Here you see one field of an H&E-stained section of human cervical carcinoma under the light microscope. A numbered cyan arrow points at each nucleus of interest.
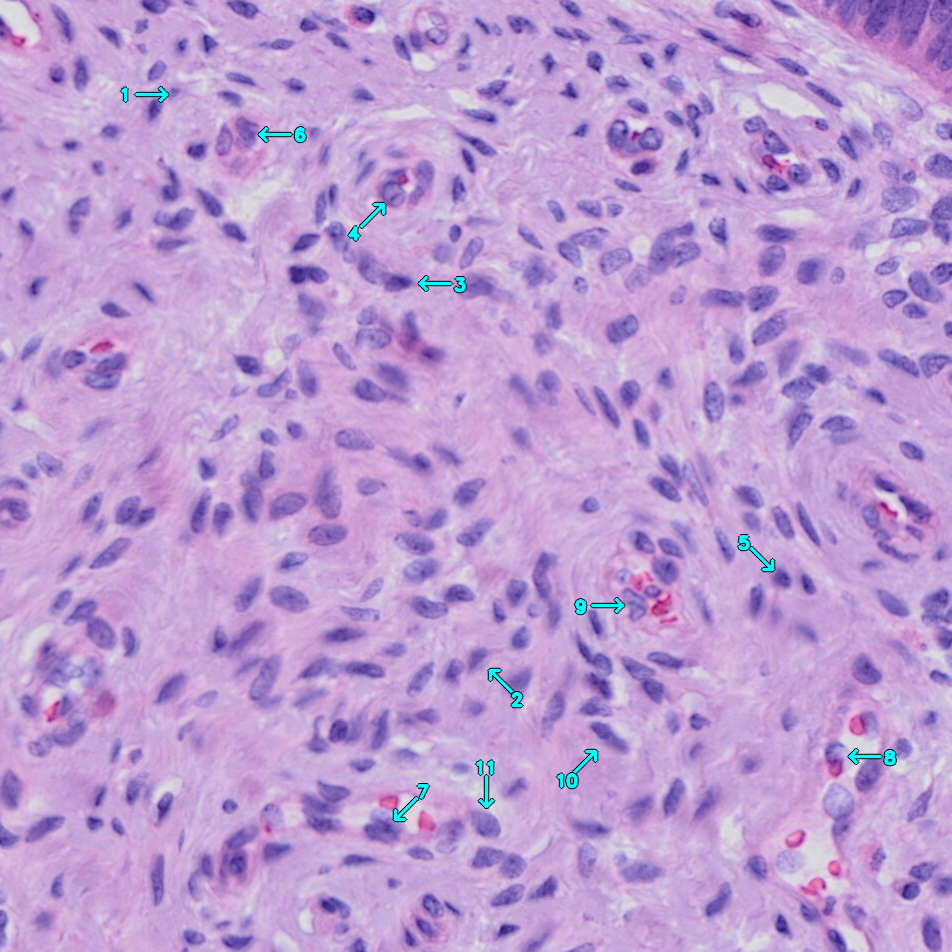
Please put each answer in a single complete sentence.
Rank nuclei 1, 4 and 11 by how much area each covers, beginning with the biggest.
Going from the biggest nucleus down to the smallest gives 11, 4, 1.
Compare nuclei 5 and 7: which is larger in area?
Number 7 is larger; its area is about 2 times that of number 5.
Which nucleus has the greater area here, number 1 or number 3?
Nucleus 3 is larger, with an area about 2.5 times that of nucleus 1.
